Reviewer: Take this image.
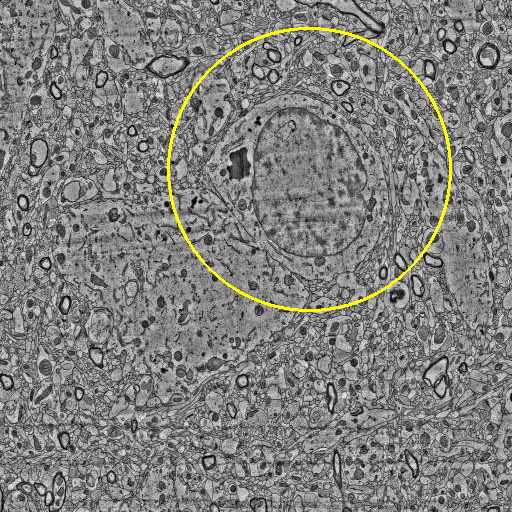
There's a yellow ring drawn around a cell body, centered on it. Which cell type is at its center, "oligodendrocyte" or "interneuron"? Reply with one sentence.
At the center of the yellow ring is an interneuron.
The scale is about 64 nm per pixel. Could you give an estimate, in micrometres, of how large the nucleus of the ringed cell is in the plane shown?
About 10 micrometres by about 8 micrometres in this plane.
